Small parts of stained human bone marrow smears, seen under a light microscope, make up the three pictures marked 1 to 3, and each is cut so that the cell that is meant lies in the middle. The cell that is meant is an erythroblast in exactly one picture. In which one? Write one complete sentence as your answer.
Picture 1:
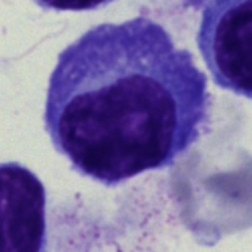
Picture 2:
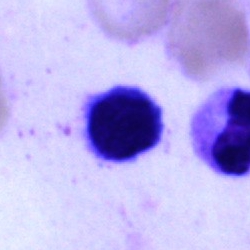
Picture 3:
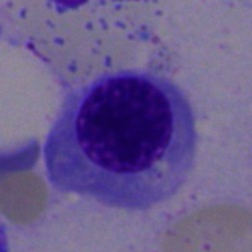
Picture 3 is the one that shows the erythroblast.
